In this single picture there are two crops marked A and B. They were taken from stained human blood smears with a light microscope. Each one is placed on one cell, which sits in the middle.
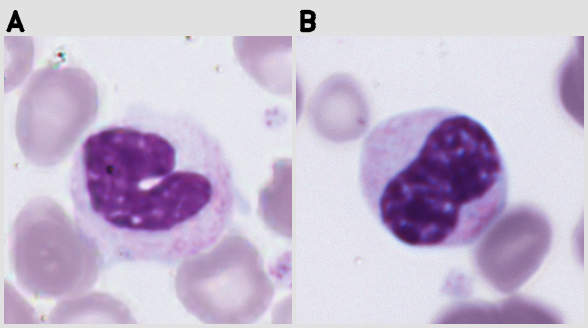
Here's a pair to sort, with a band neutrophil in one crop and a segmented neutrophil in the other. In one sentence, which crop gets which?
Crop A has been identified as a band neutrophil, and crop B has been identified as a segmented neutrophil.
